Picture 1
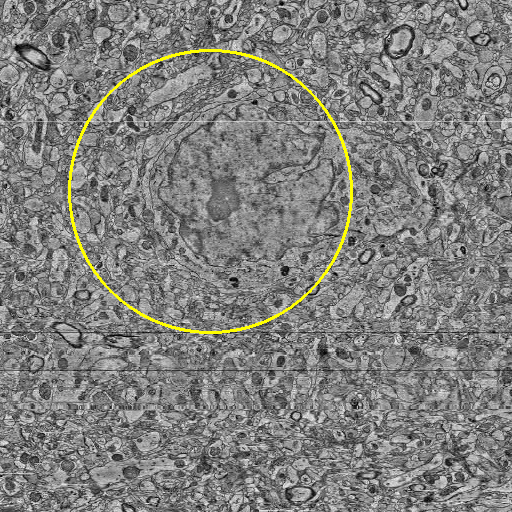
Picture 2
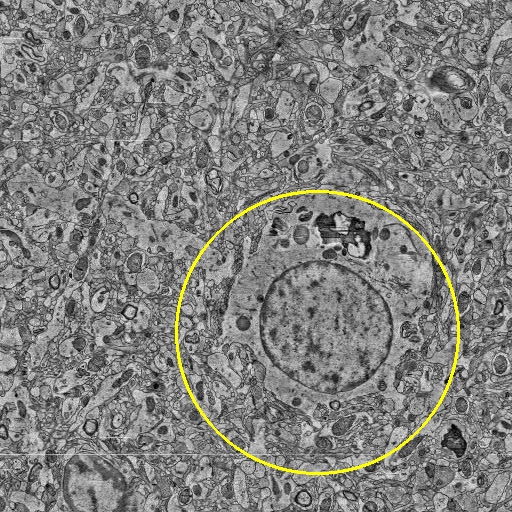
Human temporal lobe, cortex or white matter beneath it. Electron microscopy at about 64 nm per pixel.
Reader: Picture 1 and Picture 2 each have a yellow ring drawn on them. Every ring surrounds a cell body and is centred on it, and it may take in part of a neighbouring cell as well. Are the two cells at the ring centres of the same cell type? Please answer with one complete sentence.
No, the cells are of two cell types.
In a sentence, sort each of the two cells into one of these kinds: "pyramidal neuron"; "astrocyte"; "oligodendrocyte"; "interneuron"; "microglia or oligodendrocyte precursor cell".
The first of the two cells is an interneuron, and the second is an astrocyte.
